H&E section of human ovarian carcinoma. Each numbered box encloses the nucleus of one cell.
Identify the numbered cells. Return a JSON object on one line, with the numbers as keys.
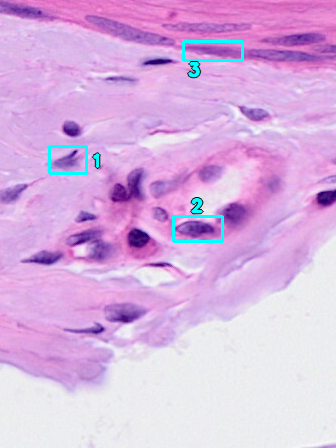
{"1": "fibroblast", "2": "endothelial cell", "3": "smooth muscle cell"}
